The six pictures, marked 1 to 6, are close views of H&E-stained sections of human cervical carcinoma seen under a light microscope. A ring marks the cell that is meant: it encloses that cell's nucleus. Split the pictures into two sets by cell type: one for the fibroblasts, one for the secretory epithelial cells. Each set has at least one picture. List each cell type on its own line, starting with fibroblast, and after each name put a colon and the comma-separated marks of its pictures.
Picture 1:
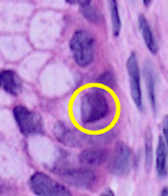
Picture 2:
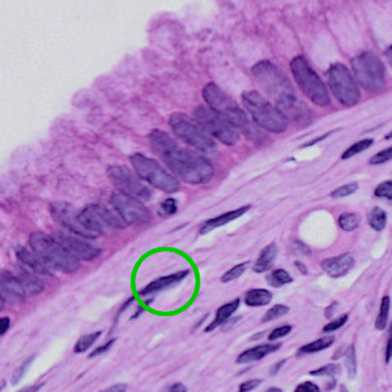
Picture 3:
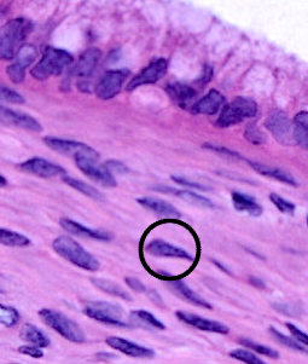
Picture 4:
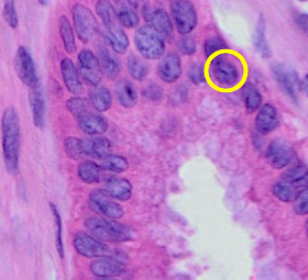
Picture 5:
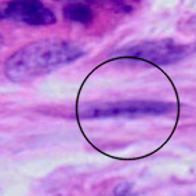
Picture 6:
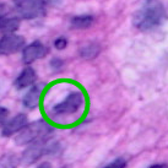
fibroblast: 2, 3, 5
secretory epithelial cell: 1, 4, 6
